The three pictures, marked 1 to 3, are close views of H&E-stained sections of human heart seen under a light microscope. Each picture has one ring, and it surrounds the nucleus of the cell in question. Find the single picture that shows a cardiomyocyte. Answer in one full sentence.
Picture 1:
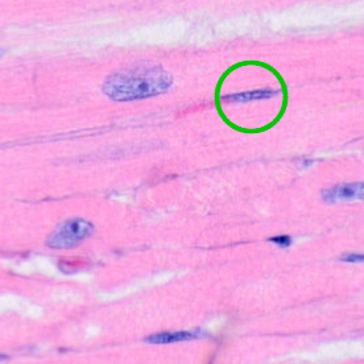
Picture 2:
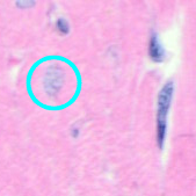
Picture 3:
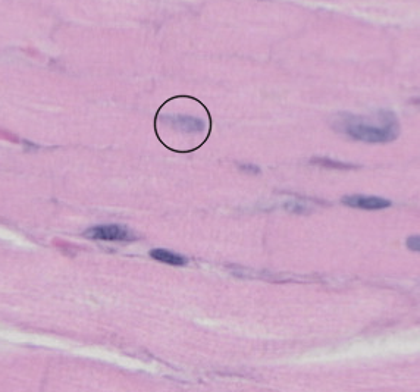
It is picture 2 that shows the cardiomyocyte.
